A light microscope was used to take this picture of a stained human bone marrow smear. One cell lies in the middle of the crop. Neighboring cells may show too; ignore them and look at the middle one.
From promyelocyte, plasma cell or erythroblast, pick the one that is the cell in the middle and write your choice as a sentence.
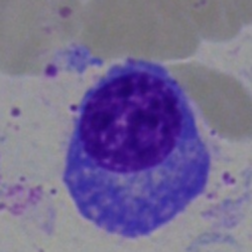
As for the cell in the middle, it is a plasma cell.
